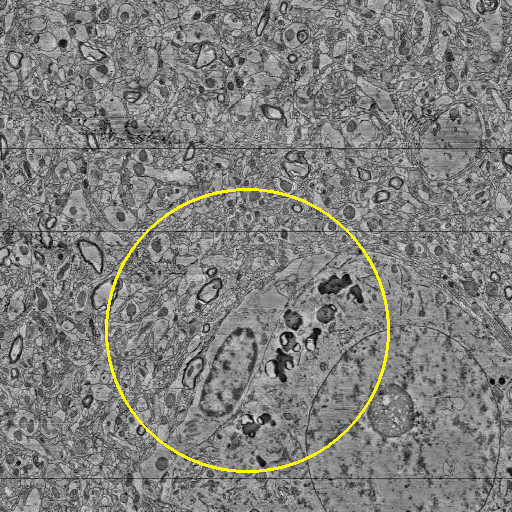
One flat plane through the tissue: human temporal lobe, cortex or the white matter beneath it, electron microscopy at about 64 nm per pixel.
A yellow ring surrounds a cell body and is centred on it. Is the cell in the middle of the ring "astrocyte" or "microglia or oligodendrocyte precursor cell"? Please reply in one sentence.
The ring is centred on a microglial cell or oligodendrocyte precursor cell.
